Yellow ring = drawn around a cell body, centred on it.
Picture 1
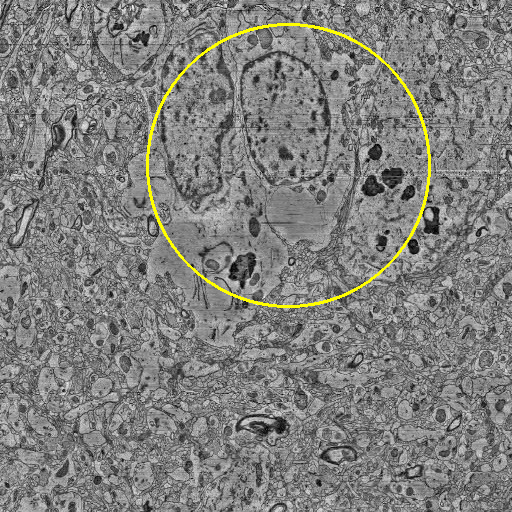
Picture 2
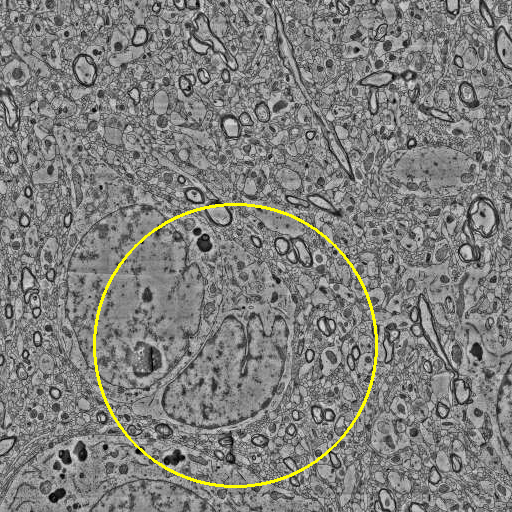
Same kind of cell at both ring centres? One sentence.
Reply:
No, they are two kinds of cell.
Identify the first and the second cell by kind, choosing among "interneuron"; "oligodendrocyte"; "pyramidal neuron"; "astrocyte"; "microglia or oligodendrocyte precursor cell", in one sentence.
The one in the first picture is an astrocyte, while the one in the second is a microglial cell or oligodendrocyte precursor cell.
